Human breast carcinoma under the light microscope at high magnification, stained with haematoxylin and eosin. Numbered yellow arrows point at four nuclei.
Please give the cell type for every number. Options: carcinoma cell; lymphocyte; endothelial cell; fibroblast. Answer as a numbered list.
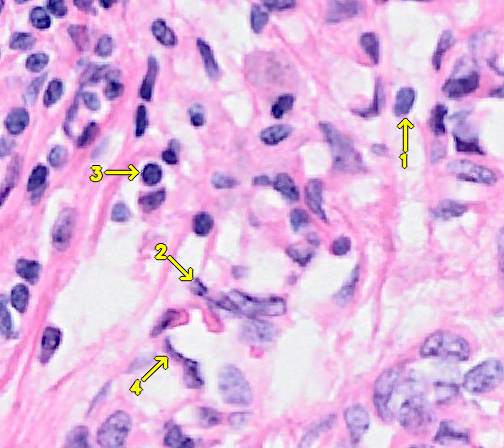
1. lymphocyte
2. endothelial cell
3. lymphocyte
4. endothelial cell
